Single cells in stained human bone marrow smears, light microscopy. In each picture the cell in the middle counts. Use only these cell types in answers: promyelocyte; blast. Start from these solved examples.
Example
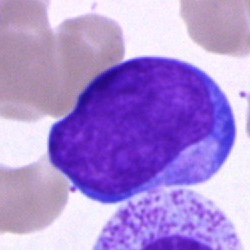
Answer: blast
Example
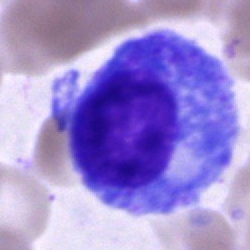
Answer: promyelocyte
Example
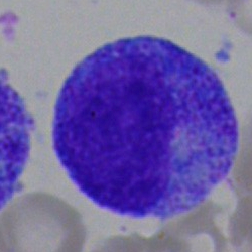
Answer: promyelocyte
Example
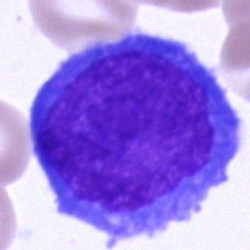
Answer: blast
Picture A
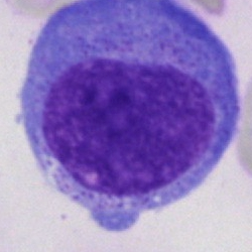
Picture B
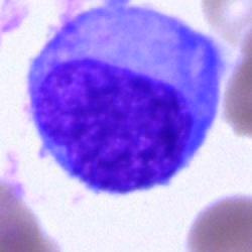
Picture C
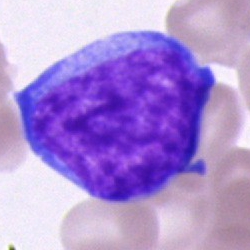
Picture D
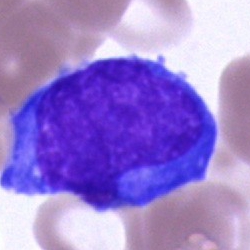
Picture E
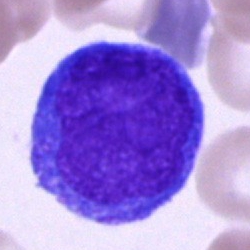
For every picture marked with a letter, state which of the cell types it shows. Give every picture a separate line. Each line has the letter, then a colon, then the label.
A: blast
B: blast
C: blast
D: blast
E: blast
